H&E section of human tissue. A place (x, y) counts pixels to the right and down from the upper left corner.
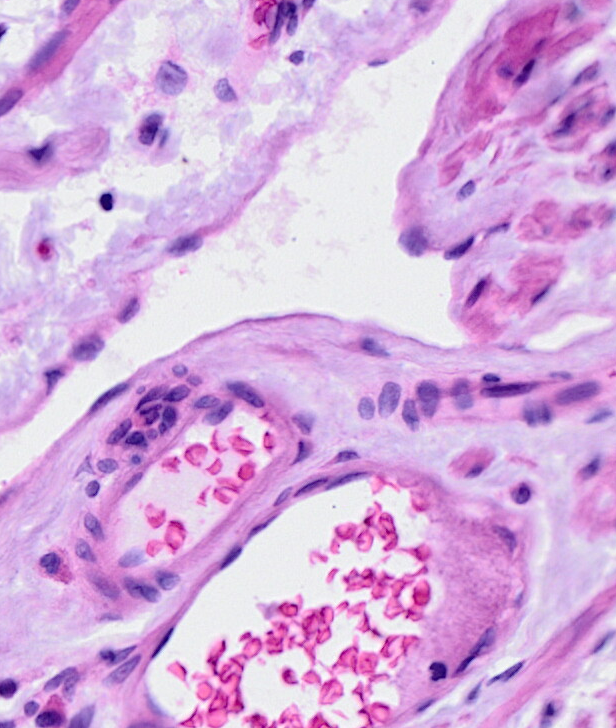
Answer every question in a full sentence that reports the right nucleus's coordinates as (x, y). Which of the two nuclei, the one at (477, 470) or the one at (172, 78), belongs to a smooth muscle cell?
Among the two nuclei, the one lying at (477, 470) is part of a smooth muscle cell.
